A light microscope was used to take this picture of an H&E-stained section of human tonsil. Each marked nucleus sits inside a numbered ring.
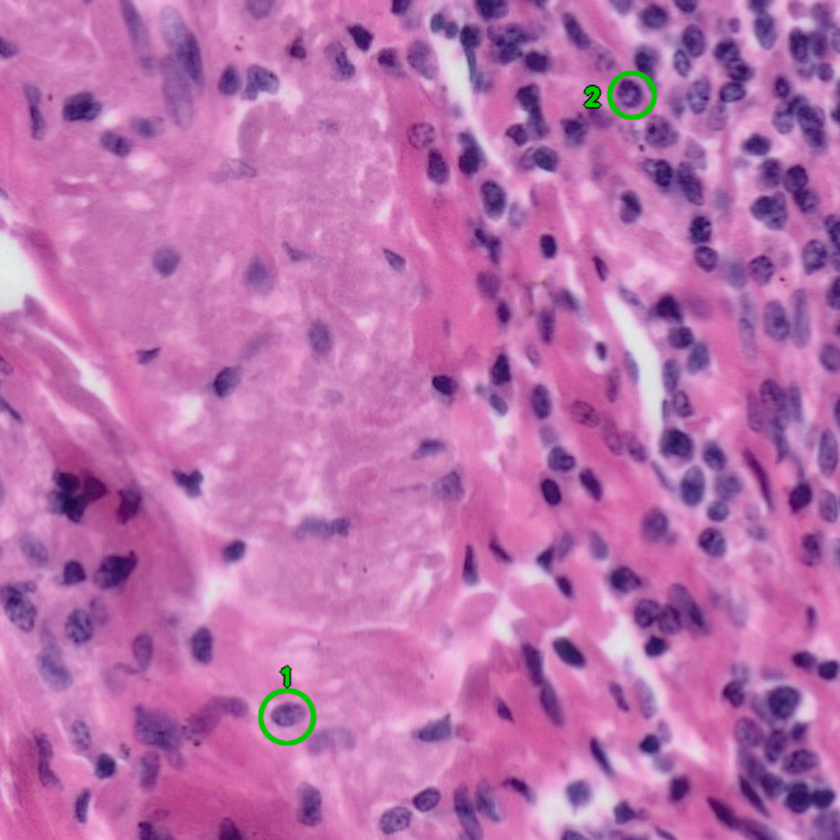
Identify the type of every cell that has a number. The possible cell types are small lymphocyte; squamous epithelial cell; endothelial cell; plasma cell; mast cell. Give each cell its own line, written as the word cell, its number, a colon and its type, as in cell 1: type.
cell 1: mast cell
cell 2: plasma cell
